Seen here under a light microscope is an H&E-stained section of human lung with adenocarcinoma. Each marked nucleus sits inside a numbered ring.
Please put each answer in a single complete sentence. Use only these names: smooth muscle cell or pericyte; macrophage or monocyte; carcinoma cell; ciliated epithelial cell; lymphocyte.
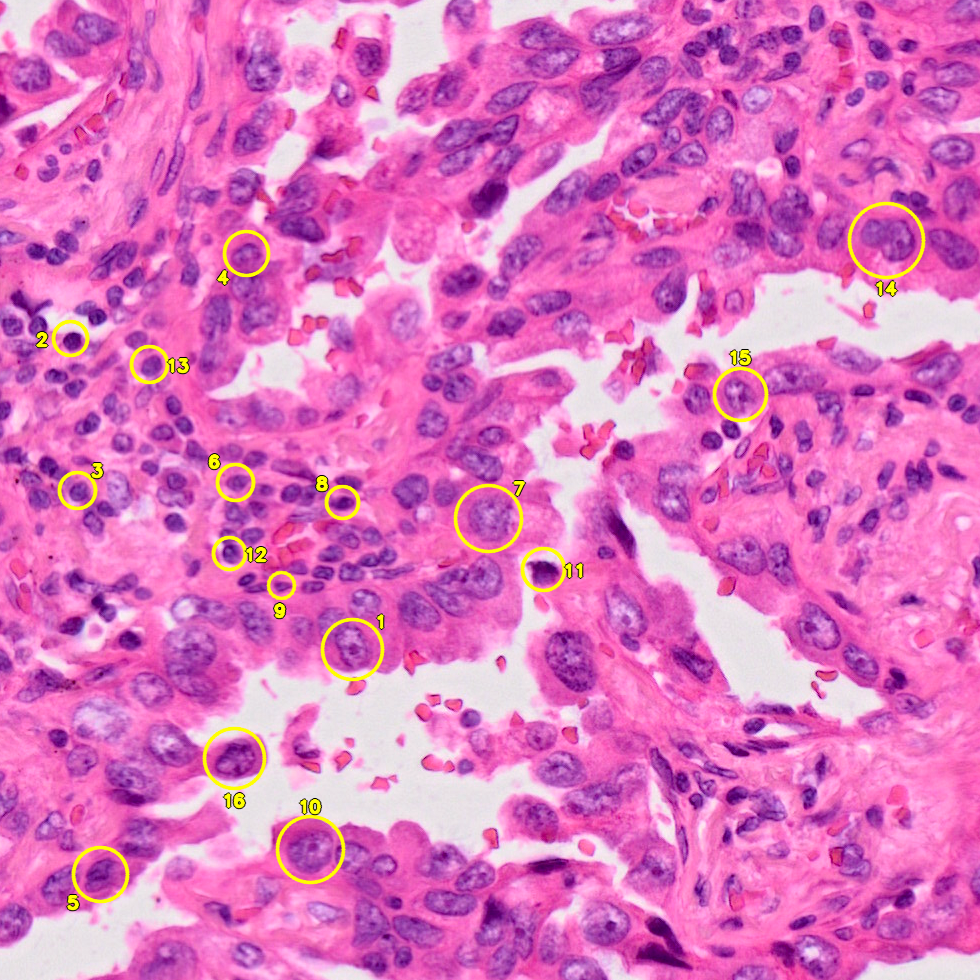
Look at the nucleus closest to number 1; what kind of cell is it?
Number 1 lies closest to the nucleus of a carcinoma cell.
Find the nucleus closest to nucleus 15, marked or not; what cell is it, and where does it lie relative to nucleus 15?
Lying below nucleus 15, the nearest nucleus is that of a lymphocyte.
